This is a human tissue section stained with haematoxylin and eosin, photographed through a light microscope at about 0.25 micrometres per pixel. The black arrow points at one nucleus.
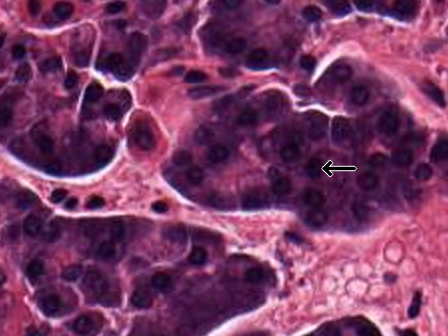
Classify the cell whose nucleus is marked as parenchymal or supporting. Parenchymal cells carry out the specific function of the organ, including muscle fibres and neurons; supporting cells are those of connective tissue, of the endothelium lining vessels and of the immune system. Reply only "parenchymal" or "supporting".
parenchymal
